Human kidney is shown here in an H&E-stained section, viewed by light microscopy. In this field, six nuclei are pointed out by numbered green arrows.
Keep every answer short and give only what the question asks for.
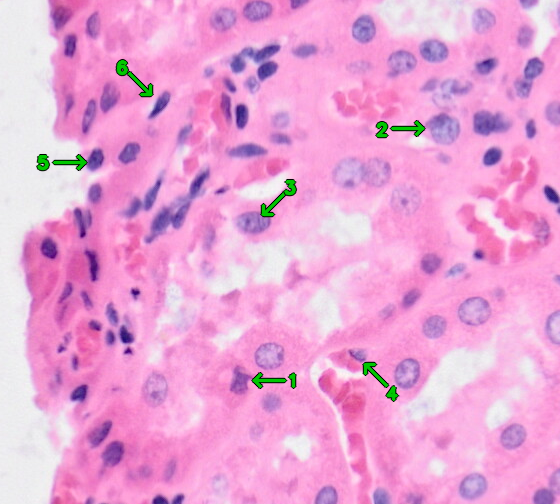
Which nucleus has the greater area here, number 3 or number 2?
2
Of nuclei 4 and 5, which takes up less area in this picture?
4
